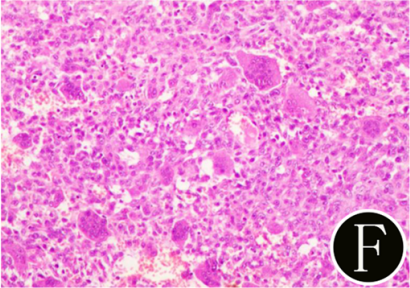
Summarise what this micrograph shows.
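The giant cells have abundant pink cytoplasm and many nuclei gathered together, often toward the centre of the cell. The background cells are small, round to oval, with purple nuclei and scant pink cytoplasm, packed closely in sheets. The giant cells are spread fairly regularly across the field rather than clustered in one place.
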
